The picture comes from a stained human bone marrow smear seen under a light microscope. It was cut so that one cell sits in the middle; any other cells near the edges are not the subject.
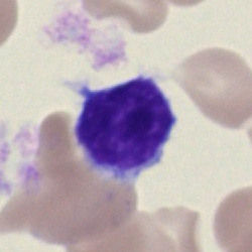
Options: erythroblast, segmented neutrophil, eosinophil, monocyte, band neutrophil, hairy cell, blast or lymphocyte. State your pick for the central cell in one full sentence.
As for the central cell, it is a lymphocyte.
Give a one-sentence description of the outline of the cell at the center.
The outer contour of the cell is irregular, with ragged portions or projections along it.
